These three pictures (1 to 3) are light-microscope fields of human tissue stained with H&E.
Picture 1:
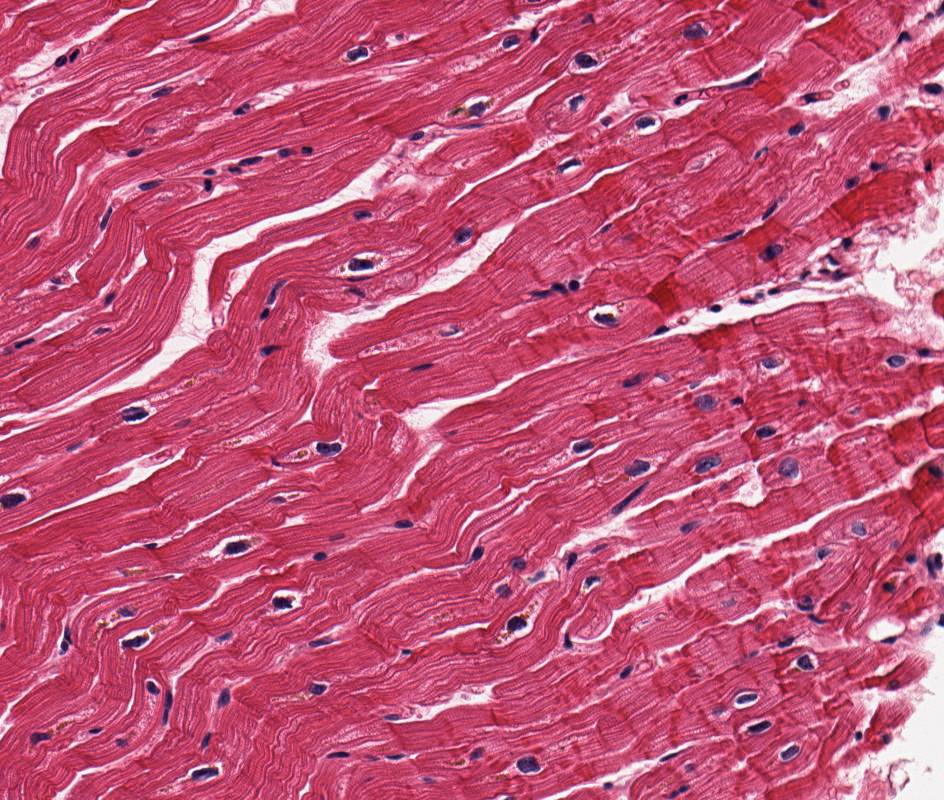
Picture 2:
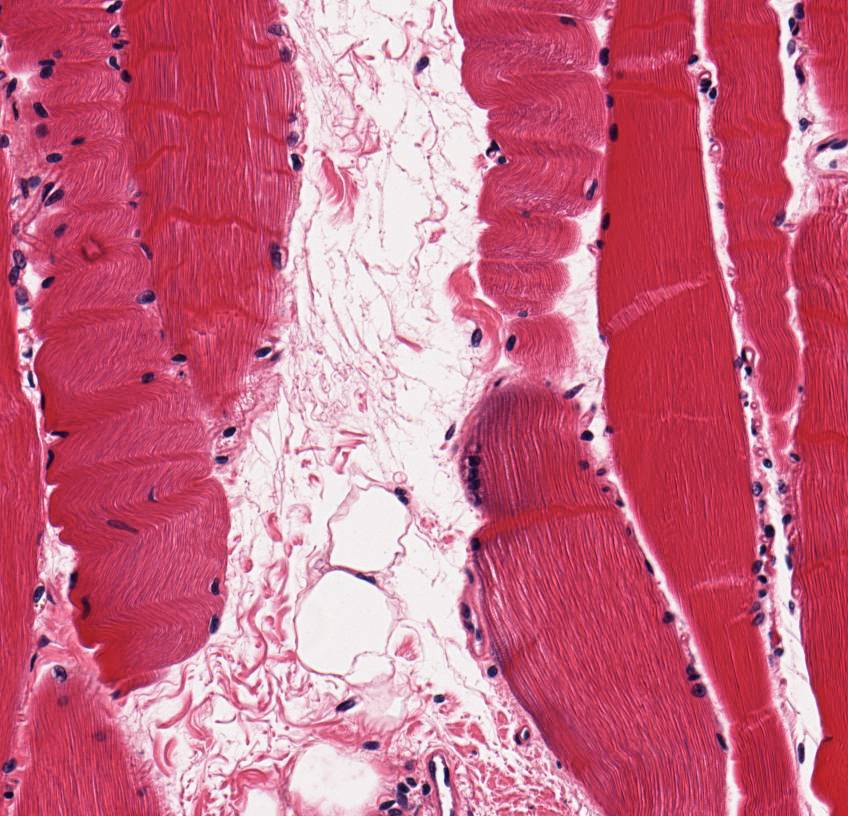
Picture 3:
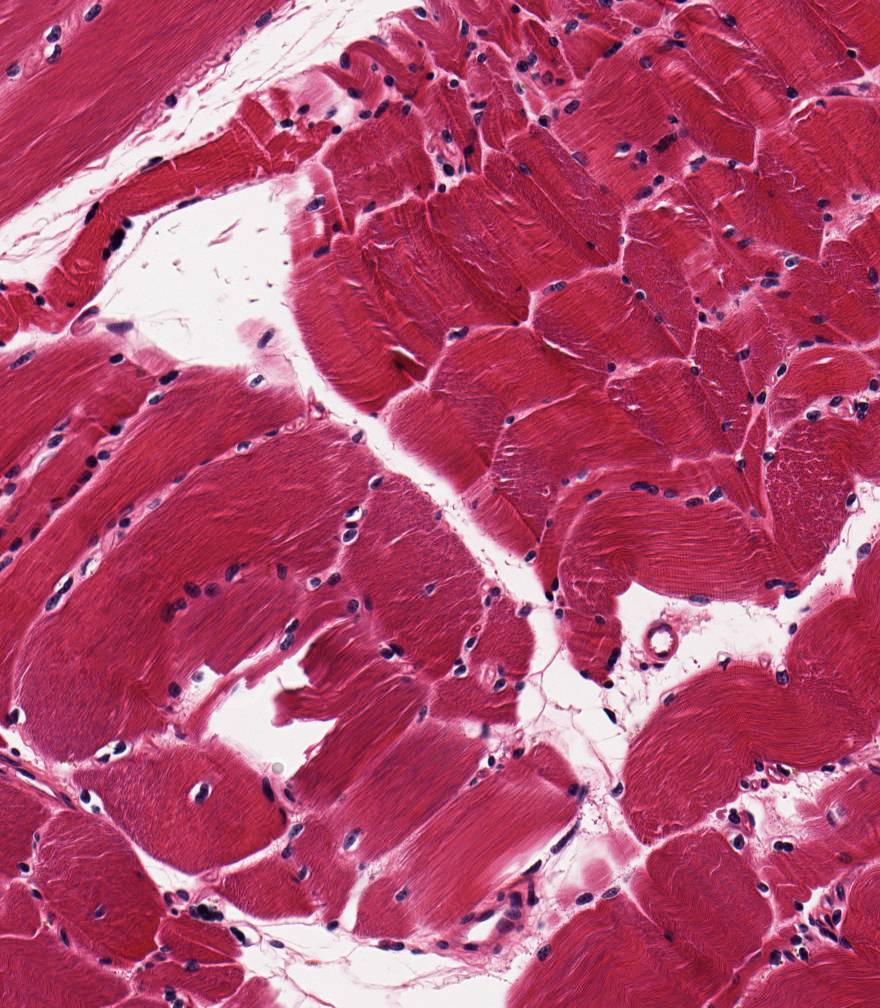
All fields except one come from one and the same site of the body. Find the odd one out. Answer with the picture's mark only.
1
